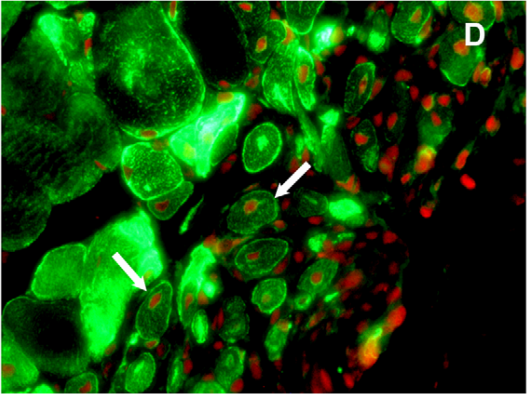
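Regenerating skeletal muscle fibers in cross-section, varying widely in size, some large and brightly green, many small and rounded with a thin green rim. Between the fibers the interstitium is crowded with numerous small red nuclei, densest toward the right side of the field. Some fibers appear diffusely bright green without clear internal structure. The tissue is loosely arranged with dark gaps among fiber groups.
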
